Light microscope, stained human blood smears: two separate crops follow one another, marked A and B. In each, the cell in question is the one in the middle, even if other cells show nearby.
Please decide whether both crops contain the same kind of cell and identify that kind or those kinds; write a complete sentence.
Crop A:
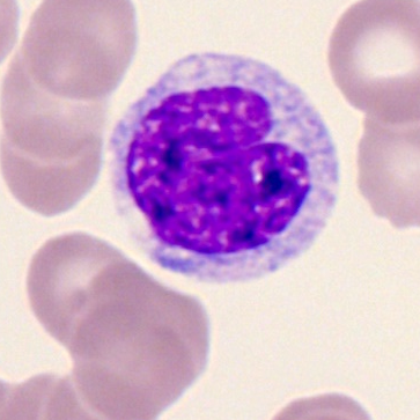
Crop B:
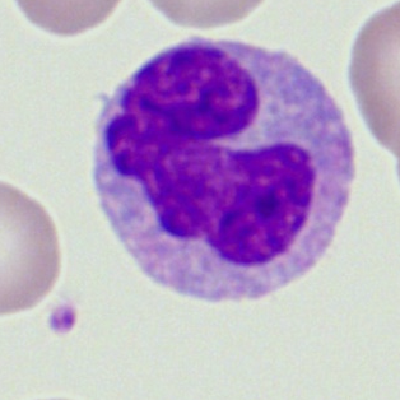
Yes, these two crops both show monocytes.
